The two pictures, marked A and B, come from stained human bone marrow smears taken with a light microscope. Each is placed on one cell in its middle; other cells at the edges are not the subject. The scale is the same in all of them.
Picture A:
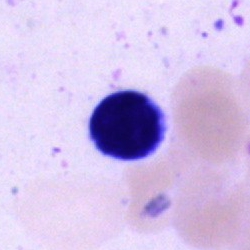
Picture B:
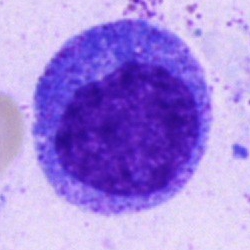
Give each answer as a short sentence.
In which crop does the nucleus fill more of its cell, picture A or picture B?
In picture A the nucleus takes up the larger part of its cell.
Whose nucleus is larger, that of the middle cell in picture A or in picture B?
The nucleus in picture B is larger, with about 4 times the area of the one in picture A.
